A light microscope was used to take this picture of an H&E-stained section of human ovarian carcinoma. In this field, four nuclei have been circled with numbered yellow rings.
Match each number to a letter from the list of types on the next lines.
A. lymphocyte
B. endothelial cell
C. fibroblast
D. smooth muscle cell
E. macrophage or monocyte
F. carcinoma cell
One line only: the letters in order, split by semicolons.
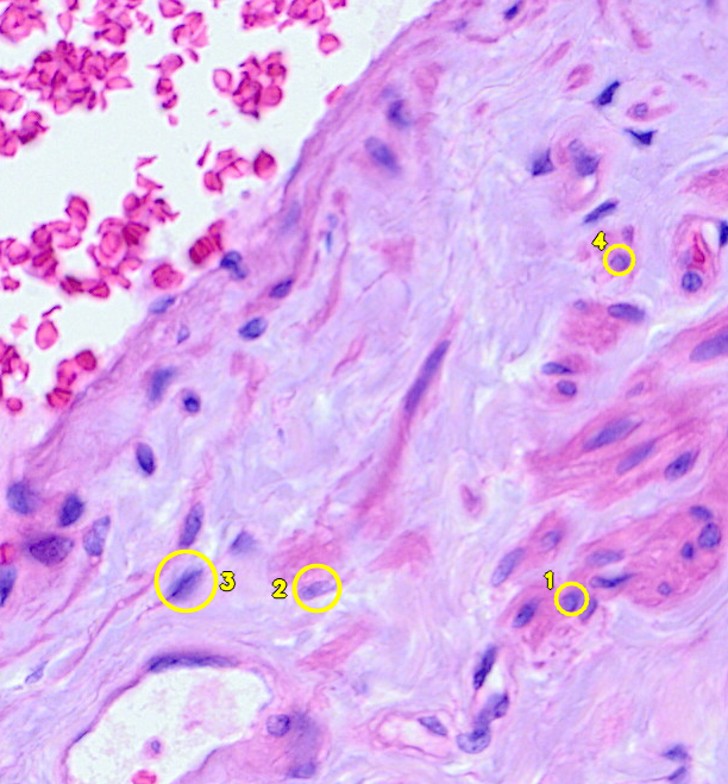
D; D; C; D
